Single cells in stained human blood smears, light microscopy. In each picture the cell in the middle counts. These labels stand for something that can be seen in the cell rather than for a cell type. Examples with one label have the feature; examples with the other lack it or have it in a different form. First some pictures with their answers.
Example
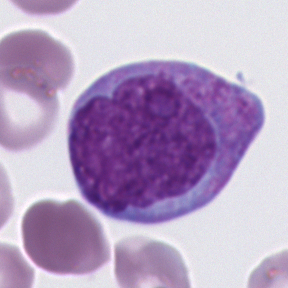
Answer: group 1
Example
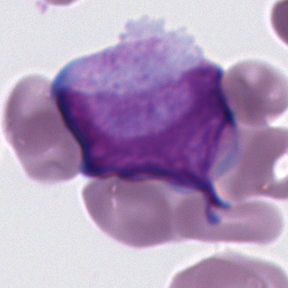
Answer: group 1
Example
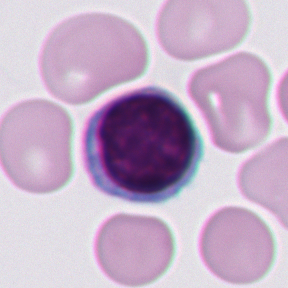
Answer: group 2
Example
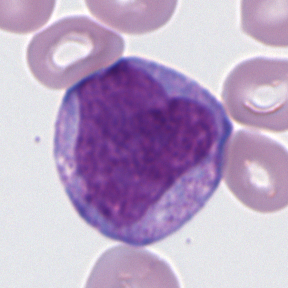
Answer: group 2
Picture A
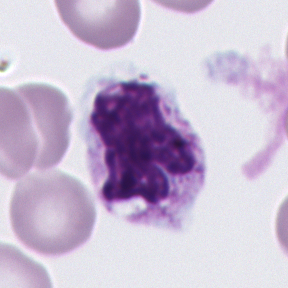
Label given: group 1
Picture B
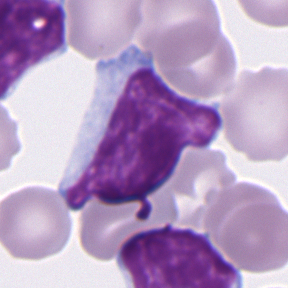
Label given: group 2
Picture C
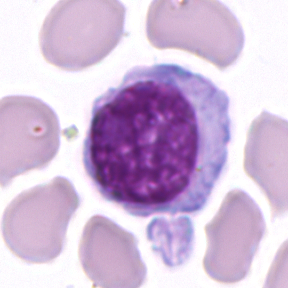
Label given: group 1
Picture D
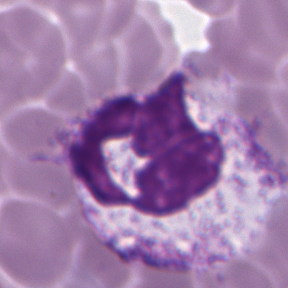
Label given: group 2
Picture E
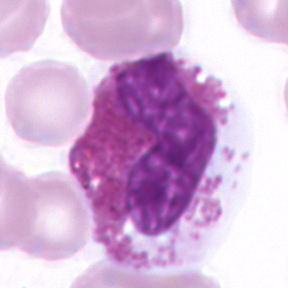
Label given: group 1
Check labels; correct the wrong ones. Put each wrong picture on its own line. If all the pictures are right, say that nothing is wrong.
B should be group 1, not group 2
D should be group 1, not group 2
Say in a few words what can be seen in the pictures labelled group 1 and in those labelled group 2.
group 1: ragged outline or projections; group 2: smooth outline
